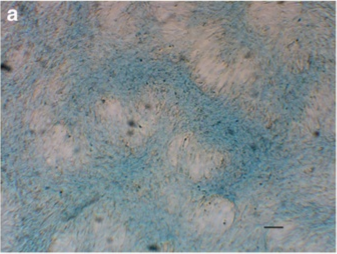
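Many fine, spindle-shaped cells lie packed together, giving the layer a finely streaked texture. The blue stain is pale and patchy: it gathers in a network of bands, while rounded areas in between stay nearly unstained and look brownish or pinkish. A few small dark specks lie scattered over the field. There are no dense, deeply stained nodules here; the overall staining is weaker than in a strongly stained culture.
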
